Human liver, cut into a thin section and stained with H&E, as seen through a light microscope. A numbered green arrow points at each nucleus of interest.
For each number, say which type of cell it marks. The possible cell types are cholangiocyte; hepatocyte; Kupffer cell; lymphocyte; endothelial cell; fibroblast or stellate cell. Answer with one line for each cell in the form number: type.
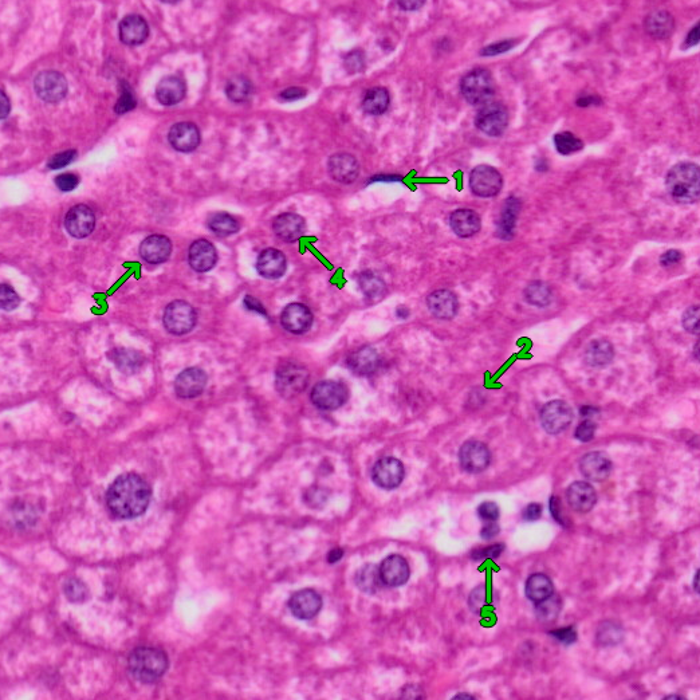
1: endothelial cell
2: hepatocyte
3: hepatocyte
4: hepatocyte
5: Kupffer cell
